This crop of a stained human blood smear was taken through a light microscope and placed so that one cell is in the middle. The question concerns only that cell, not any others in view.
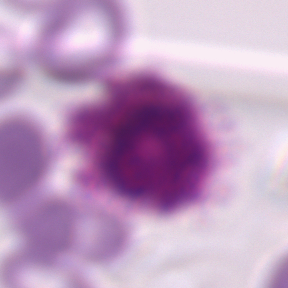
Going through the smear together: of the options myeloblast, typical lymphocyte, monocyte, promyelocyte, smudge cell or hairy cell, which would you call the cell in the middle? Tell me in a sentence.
In the central position of this crop, the cell is a smudge cell.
